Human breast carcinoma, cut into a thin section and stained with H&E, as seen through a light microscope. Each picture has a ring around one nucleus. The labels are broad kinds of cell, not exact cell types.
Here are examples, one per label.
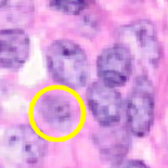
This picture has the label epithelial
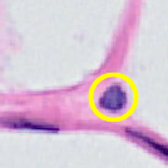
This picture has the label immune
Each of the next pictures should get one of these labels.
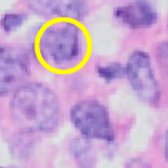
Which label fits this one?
epithelial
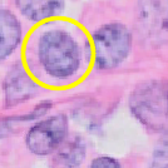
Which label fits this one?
epithelial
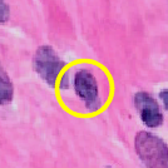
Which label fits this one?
immune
